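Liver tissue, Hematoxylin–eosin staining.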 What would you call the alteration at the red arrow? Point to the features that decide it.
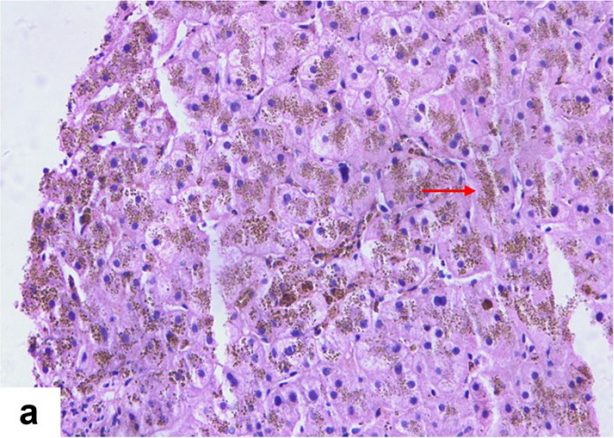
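Coarse golden-brown granules fill the cytoplasm of many polygonal cells. The granules are refractile pigment, not stained blue or pink.
Hence: iron particles.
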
